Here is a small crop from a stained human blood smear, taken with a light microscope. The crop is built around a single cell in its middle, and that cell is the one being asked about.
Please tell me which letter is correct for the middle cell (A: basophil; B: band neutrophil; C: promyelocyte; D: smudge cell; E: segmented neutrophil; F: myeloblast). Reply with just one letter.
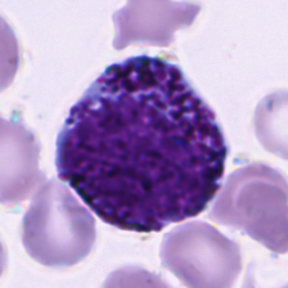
A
